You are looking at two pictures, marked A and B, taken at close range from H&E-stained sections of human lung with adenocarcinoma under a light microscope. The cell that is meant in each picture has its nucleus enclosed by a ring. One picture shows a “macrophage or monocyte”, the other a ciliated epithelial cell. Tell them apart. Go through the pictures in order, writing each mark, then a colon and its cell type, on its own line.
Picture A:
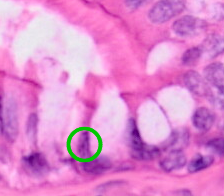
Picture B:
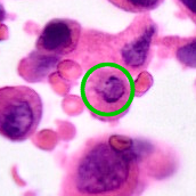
A: ciliated epithelial cell
B: macrophage or monocyte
